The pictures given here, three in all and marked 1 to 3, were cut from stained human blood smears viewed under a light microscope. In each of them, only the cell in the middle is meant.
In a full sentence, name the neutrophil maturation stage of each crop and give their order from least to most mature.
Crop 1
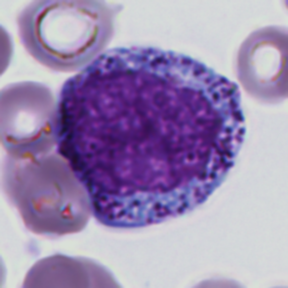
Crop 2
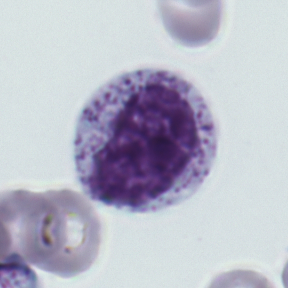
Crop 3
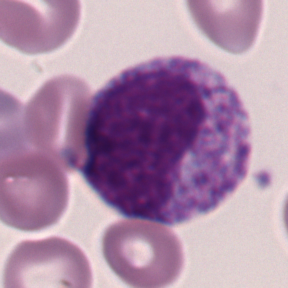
What results from ordering by maturity, least to most, is crop 1 (a promyelocyte), crop 3 (a myelocyte) and crop 2 (a metamyelocyte).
